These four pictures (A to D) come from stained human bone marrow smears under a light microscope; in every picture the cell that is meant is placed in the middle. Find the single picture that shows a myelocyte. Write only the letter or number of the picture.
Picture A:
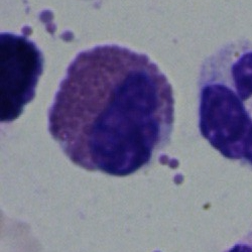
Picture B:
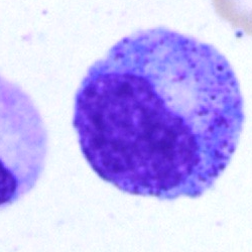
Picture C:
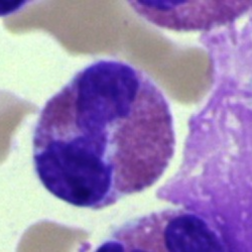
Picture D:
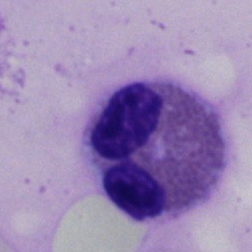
B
